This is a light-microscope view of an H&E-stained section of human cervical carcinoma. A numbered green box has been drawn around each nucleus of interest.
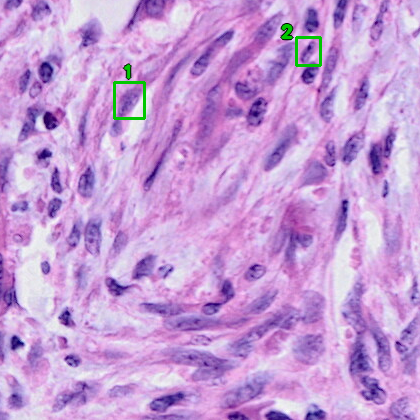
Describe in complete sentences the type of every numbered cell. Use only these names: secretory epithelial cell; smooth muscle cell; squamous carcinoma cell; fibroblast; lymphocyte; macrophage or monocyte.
Cell 1 is a fibroblast. Cell 2 is a lymphocyte.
